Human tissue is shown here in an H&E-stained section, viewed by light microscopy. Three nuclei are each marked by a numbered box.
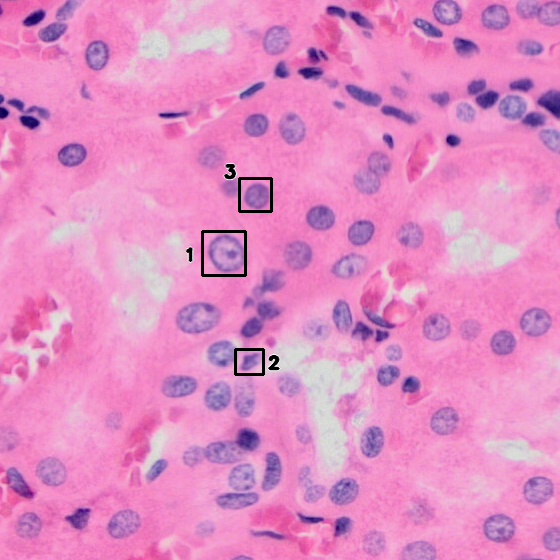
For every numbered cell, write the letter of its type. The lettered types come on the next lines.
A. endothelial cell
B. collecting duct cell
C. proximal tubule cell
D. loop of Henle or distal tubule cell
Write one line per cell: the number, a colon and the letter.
1: C
2: B
3: C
